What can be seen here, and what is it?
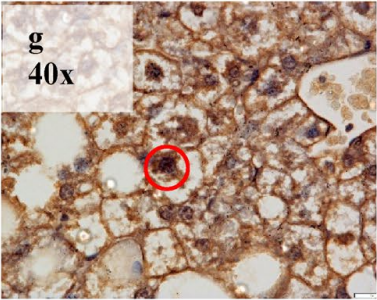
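Liver parenchyma of polygonal hepatocytes with round central nuclei, outlined by brown-stained cell borders. Many hepatocytes carry clear round vacuoles of varying size, some large enough to fill the cell, displacing cytoplasm. A number of nuclei appear brown and granular, one circled cell being particularly dark. A vessel lumen containing red blood cells lies at the upper right. Small bluish nuclei are scattered between the hepatocytes.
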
